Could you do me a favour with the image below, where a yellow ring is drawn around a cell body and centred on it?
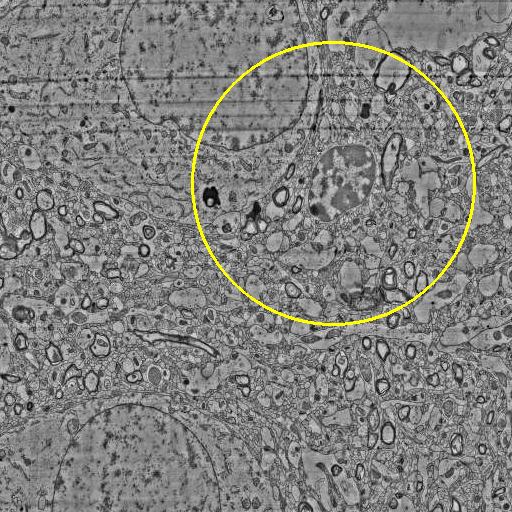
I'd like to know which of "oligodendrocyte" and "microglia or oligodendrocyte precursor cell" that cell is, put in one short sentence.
The cell at the ring's centre is a microglial cell or oligodendrocyte precursor cell.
